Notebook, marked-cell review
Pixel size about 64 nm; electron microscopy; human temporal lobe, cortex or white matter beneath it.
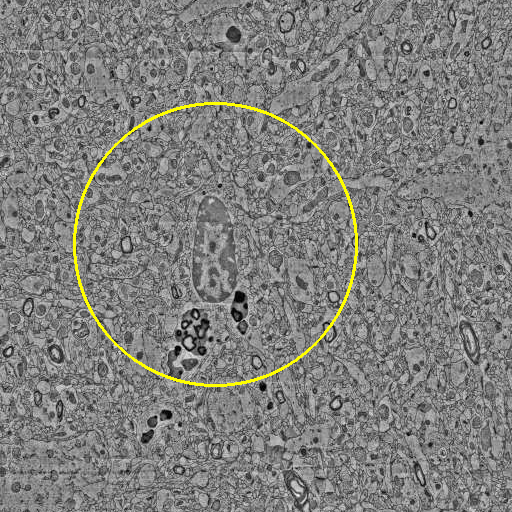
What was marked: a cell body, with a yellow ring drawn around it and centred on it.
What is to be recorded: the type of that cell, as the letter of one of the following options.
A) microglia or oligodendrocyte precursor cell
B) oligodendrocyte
A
